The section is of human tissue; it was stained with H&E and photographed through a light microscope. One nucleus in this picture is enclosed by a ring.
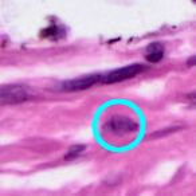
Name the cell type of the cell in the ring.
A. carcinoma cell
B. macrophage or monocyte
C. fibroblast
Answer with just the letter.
C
